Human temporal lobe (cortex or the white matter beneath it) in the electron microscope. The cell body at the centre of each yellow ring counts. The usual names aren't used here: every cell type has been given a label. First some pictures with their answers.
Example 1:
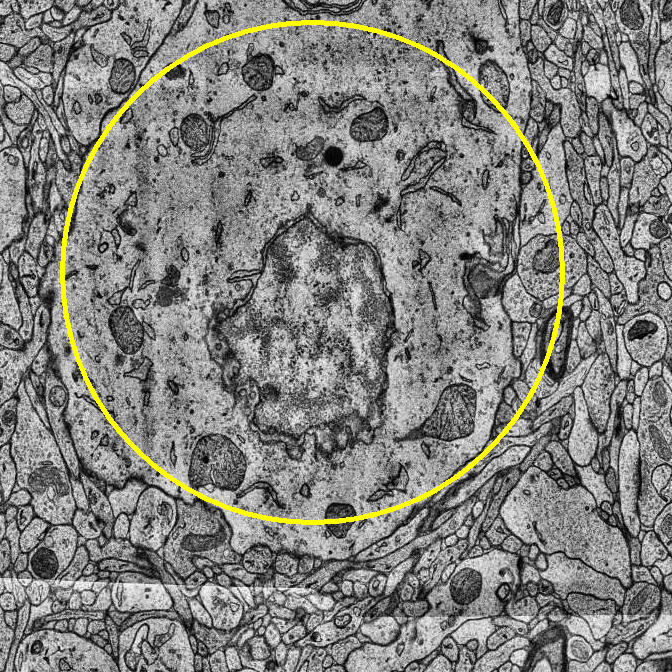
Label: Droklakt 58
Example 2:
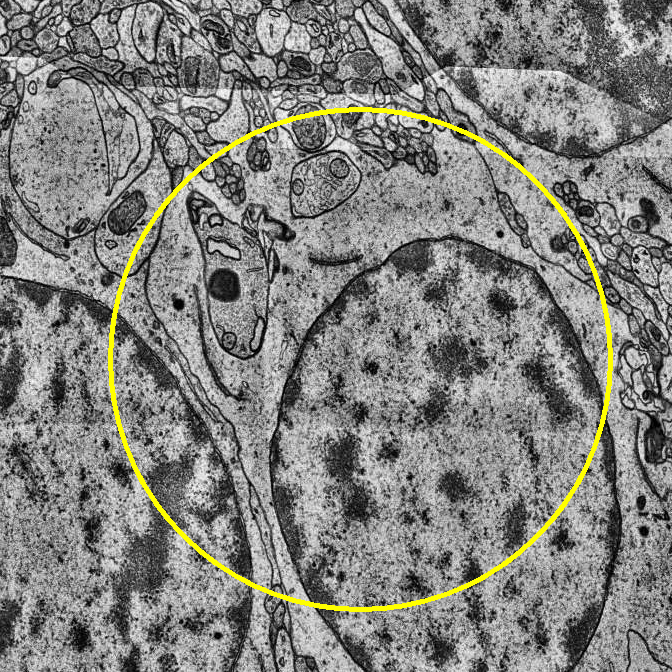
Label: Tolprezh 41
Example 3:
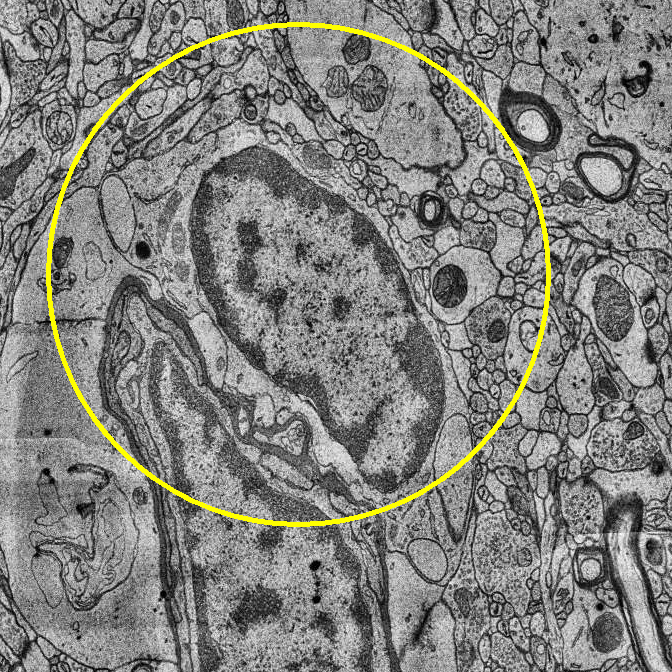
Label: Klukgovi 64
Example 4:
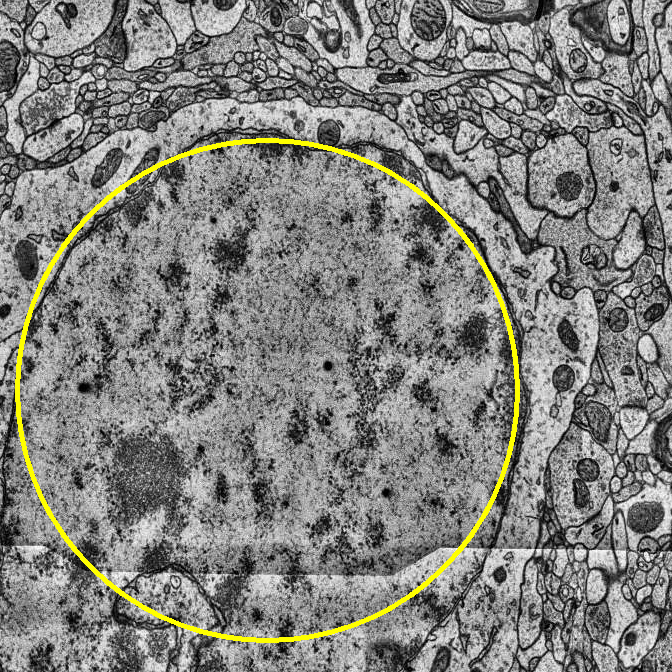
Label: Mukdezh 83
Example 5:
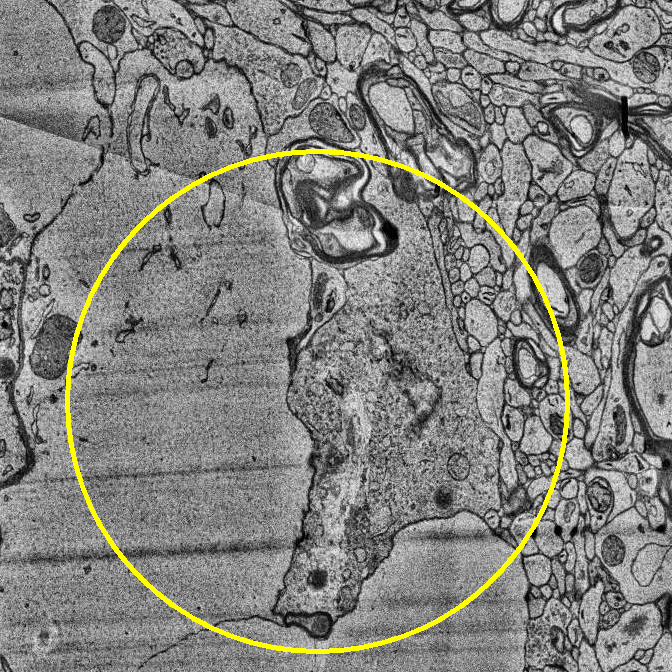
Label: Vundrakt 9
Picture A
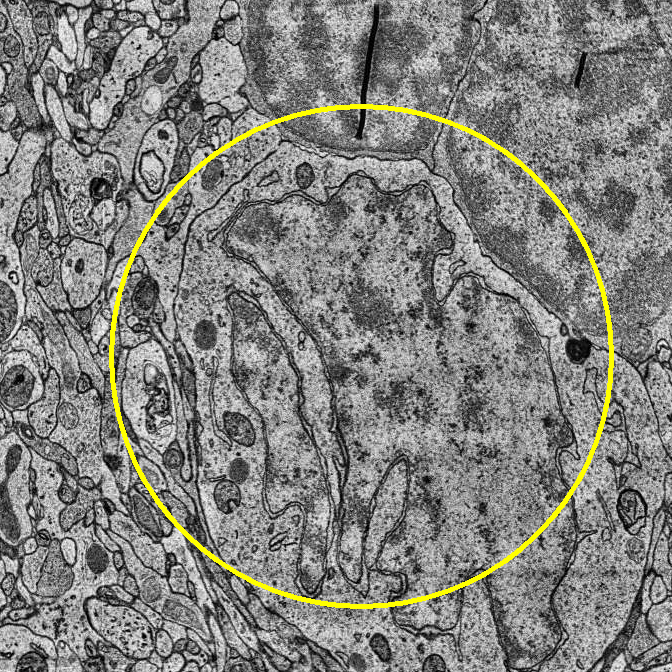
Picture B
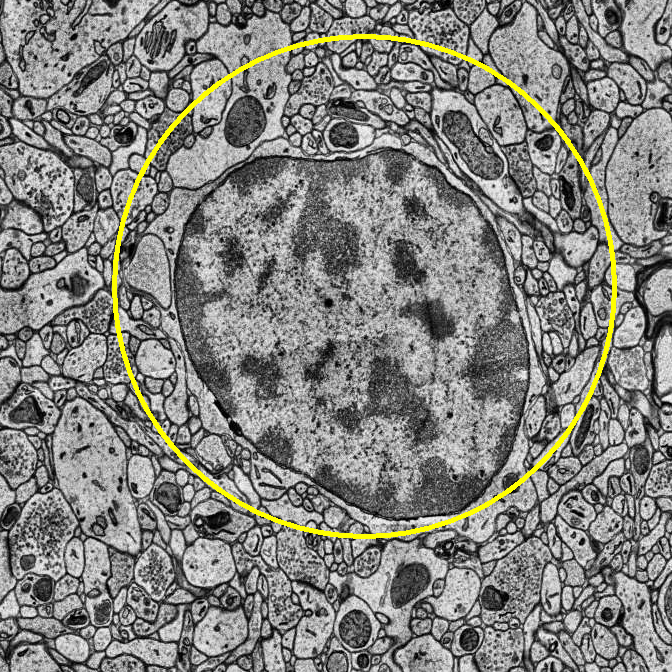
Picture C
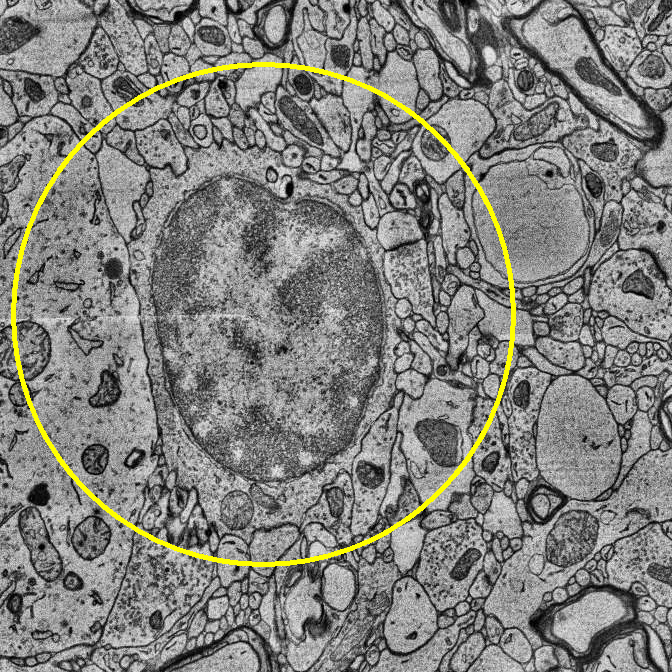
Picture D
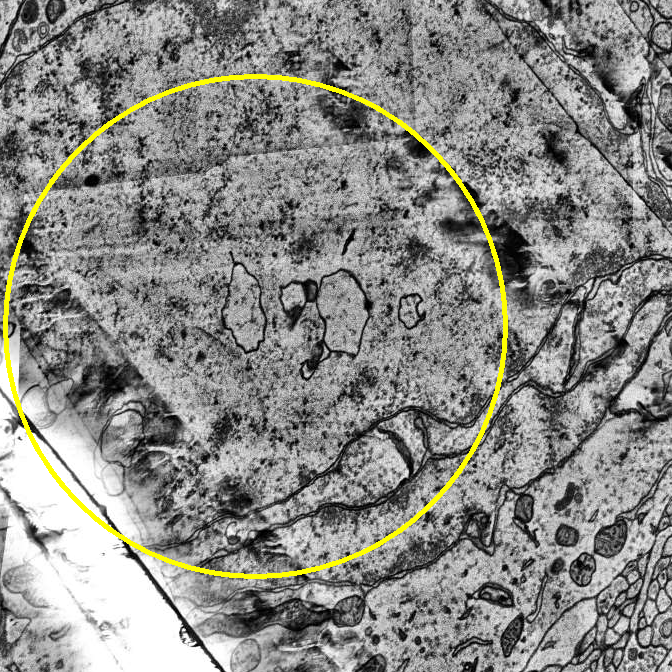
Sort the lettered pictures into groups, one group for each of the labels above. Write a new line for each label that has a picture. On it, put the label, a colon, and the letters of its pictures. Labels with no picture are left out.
Klukgovi 64: B
Mukdezh 83: A, D
Vundrakt 9: C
